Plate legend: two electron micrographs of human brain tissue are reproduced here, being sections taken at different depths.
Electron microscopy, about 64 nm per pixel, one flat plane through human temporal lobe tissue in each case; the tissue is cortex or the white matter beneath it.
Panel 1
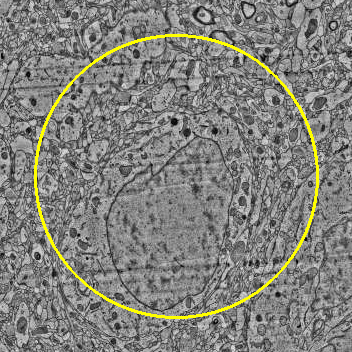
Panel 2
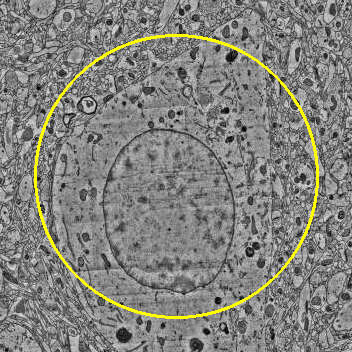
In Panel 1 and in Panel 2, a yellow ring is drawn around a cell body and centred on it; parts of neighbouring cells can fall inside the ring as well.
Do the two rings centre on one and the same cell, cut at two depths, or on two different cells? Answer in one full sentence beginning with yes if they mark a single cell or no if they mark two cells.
No, the yellow rings mark two cells that are not the same.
